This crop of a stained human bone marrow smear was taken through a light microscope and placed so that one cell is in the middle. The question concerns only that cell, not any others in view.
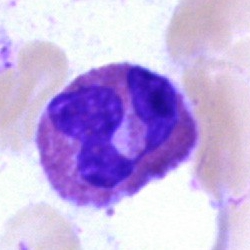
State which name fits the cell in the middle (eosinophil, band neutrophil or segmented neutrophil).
eosinophil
